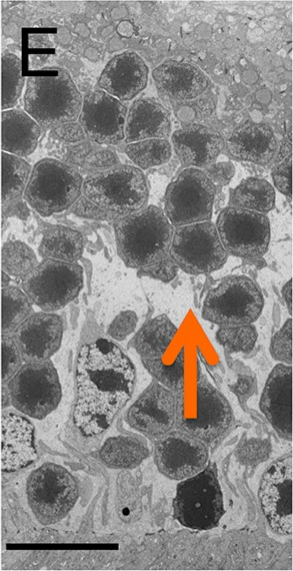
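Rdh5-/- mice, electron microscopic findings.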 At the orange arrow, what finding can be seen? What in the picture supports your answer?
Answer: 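A broad pale band separates groups of nuclei. The arrow points into this pale gap. That points to this answer: wide interspaces between nuclei.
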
